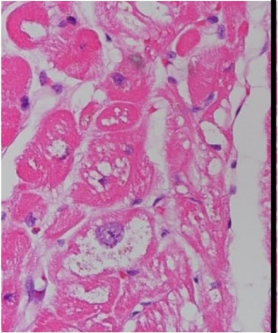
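Heart muscle cells cut mostly across, stained pink, with clear vacuolated cytoplasm. The fibres are large, rounded to polygonal, and packed closely with thin spaces between them. Many contain dark purple nuclei placed near the centre. Around and beside the nuclei the cytoplasm is cleared into pale, empty-looking spaces, giving a lacy, bubbly look to many cells. The pink cytoplasm is irregular and clumped rather than evenly filling each cell. Small dark nuclei of other cells sit in the narrow spaces between fibres. At the right edge lies a paler, loose strip of tissue.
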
